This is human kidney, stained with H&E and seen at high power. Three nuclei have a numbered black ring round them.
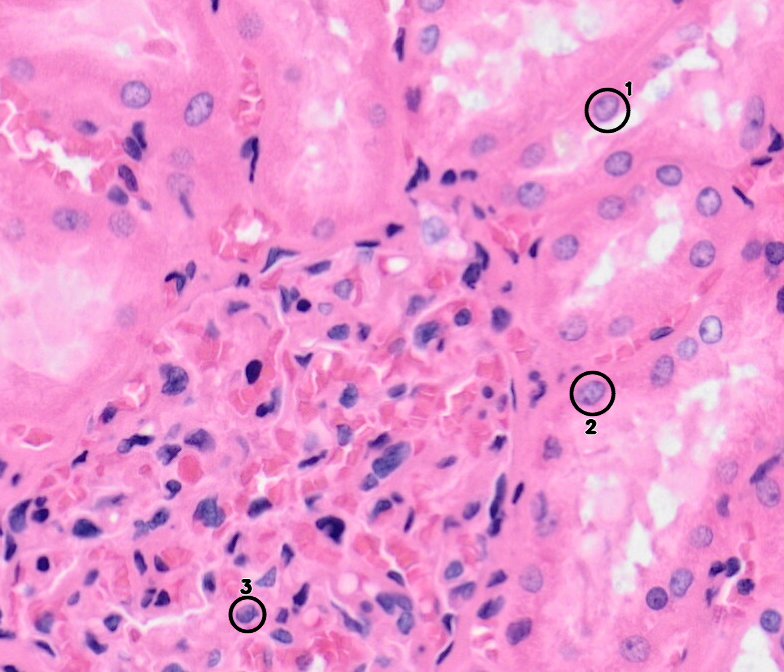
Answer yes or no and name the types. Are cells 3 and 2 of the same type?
No, in contrast to cell 2, which is a proximal tubule cell, cell 3 is an endothelial cell.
